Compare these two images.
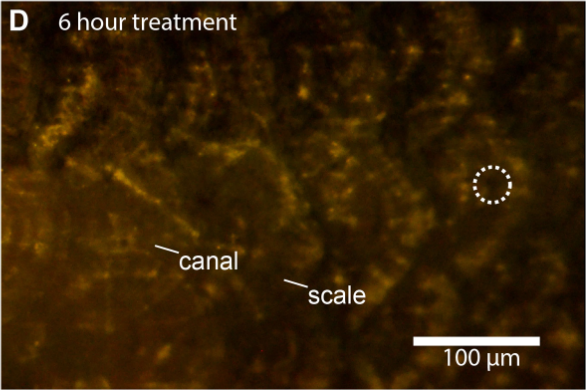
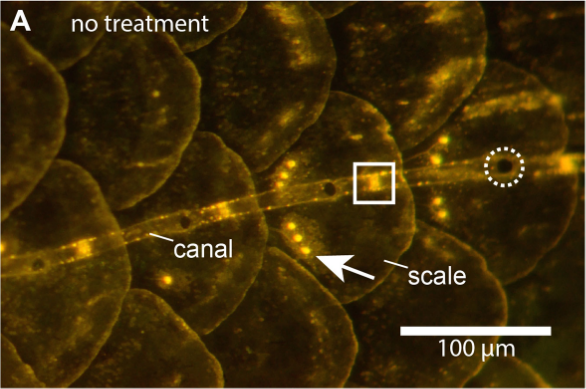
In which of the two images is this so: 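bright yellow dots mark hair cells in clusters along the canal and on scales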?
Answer: The second image.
